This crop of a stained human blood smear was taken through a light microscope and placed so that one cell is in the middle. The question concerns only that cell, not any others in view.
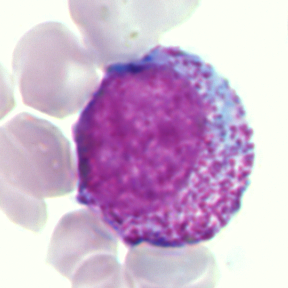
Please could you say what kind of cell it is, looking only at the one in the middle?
promyelocyte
